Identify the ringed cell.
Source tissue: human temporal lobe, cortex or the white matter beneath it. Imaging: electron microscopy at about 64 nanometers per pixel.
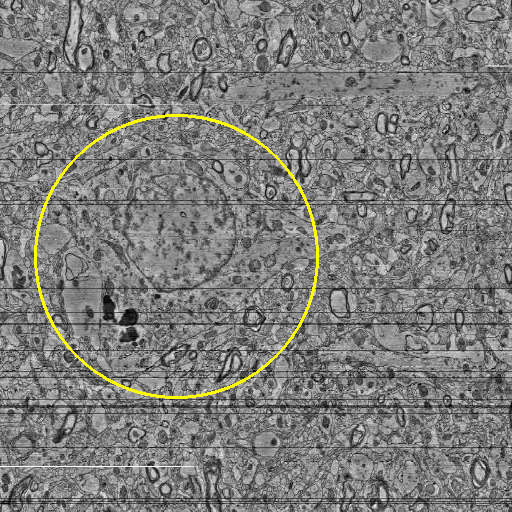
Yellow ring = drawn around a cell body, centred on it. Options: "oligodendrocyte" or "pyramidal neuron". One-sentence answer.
What the ring is centred on is a pyramidal neuron.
